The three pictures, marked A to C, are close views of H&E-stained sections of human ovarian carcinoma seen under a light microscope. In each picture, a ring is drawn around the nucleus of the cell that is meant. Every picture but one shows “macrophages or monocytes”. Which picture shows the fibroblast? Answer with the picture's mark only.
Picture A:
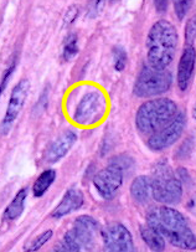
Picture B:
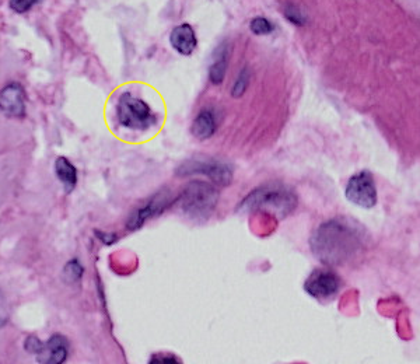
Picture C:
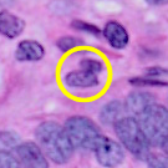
A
